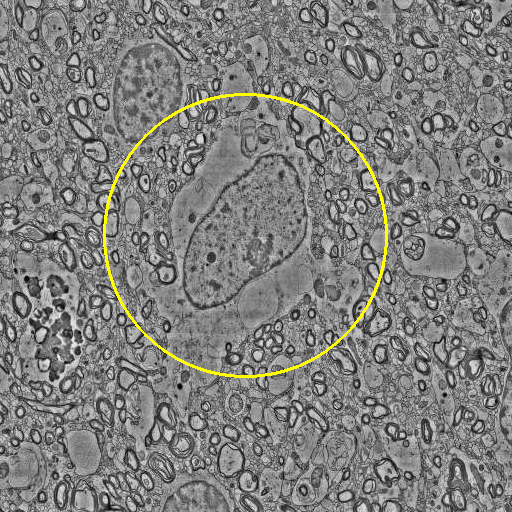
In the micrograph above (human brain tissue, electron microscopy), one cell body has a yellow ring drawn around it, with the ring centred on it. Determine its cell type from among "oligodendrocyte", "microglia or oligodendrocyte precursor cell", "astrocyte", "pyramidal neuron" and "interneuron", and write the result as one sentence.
The cell whose body is ringed is an astrocyte.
